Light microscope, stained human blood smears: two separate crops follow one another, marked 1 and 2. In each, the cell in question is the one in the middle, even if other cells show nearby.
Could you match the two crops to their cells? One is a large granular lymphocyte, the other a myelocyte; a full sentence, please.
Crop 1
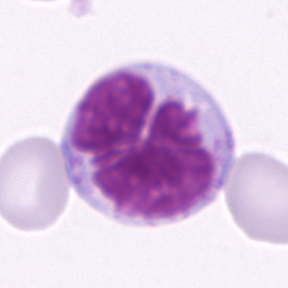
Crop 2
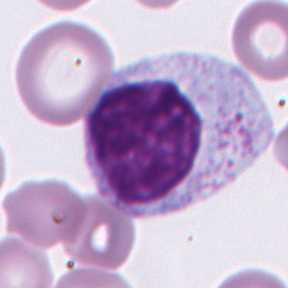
In crop 2 the central cell is a myelocyte, and in crop 1 it is a large granular lymphocyte.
